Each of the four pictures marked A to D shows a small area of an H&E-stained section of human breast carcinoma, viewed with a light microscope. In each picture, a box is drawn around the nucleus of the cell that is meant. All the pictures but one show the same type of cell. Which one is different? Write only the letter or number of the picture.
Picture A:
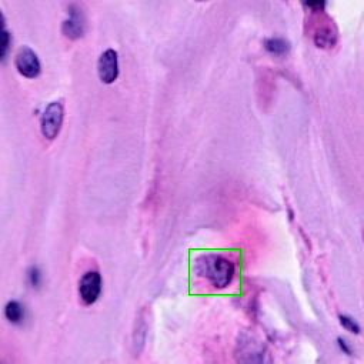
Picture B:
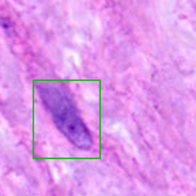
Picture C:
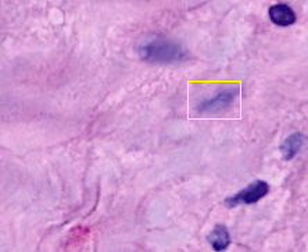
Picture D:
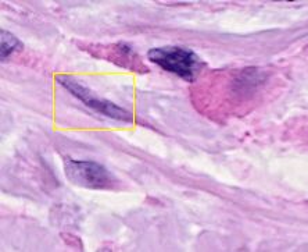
A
